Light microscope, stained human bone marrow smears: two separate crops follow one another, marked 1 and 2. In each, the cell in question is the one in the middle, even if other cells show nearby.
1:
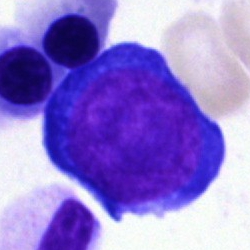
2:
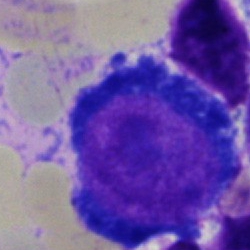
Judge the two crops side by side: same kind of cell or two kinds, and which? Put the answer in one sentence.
Yes, what both crops show is proerythroblasts.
